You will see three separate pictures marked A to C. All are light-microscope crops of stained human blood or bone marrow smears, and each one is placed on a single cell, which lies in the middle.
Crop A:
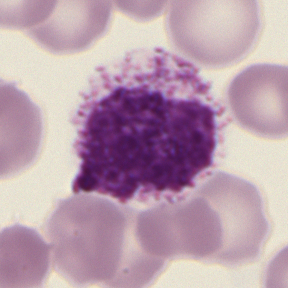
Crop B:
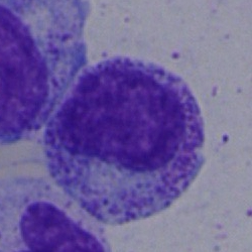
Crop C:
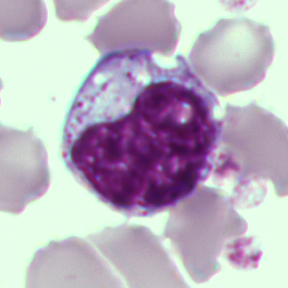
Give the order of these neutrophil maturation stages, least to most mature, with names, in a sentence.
The sequence from earliest to latest maturation stage is crop B (a myelocyte), crop C (a metamyelocyte) and crop A (a band neutrophil).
